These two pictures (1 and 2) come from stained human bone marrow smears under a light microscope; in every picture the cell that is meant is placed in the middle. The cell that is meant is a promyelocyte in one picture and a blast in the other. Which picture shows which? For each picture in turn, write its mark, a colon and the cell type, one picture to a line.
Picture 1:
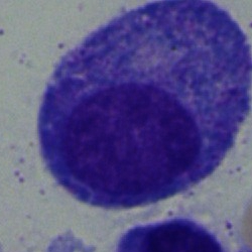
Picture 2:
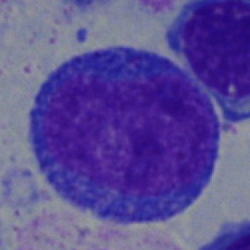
1: promyelocyte
2: blast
